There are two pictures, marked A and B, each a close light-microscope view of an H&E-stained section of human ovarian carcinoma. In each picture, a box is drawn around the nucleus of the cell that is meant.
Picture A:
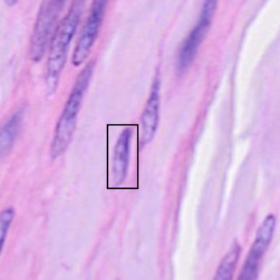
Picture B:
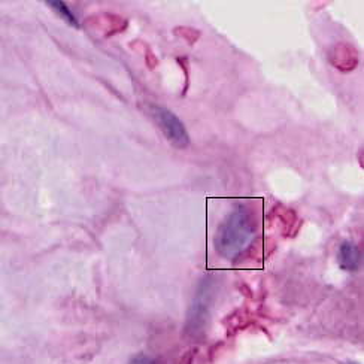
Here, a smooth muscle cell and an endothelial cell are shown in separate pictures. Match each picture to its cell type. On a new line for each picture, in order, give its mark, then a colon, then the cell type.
A: smooth muscle cell
B: endothelial cell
